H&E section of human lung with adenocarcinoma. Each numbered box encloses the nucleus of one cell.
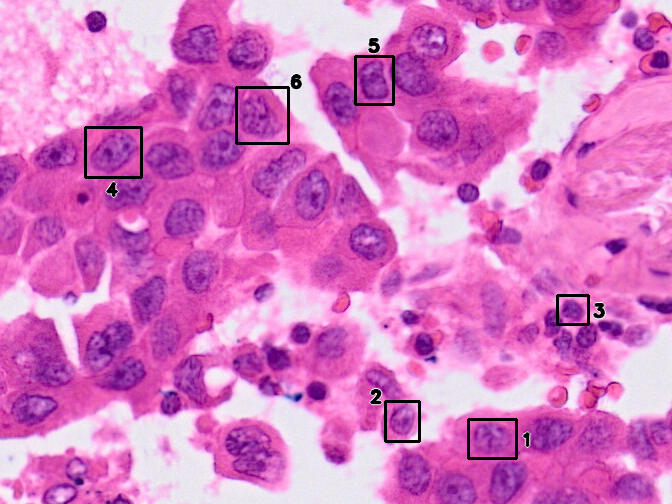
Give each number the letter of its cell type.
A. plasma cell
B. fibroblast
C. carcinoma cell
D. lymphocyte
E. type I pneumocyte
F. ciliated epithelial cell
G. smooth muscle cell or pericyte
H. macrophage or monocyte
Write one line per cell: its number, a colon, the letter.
1: C
2: H
3: D
4: C
5: C
6: C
